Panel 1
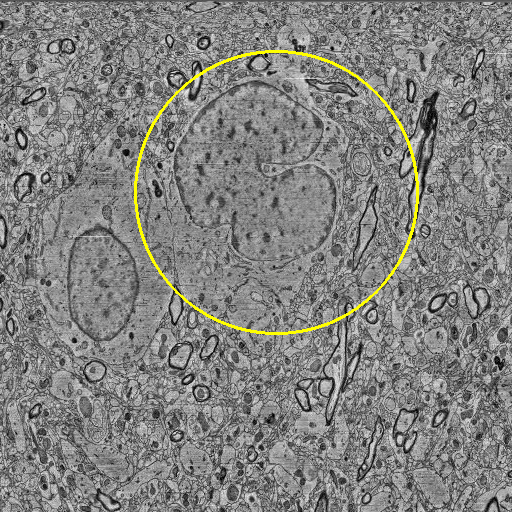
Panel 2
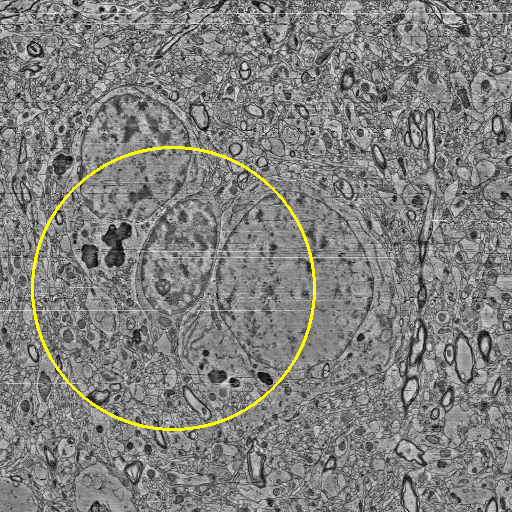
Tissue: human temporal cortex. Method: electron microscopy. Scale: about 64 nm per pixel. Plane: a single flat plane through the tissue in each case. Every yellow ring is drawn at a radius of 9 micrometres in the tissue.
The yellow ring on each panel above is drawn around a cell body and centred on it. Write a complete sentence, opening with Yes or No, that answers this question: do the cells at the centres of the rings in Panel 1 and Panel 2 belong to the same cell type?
No, the two cells belong to two cell types.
